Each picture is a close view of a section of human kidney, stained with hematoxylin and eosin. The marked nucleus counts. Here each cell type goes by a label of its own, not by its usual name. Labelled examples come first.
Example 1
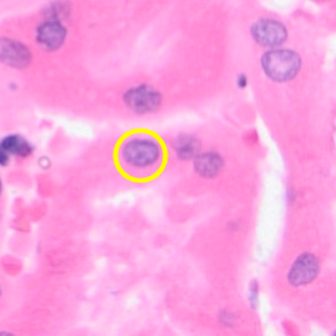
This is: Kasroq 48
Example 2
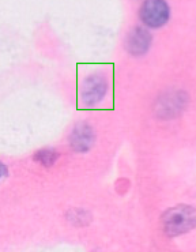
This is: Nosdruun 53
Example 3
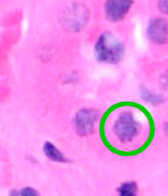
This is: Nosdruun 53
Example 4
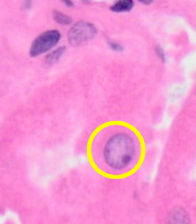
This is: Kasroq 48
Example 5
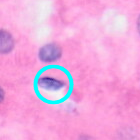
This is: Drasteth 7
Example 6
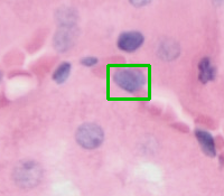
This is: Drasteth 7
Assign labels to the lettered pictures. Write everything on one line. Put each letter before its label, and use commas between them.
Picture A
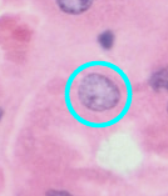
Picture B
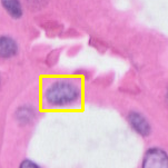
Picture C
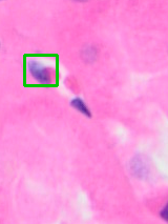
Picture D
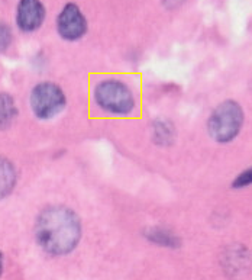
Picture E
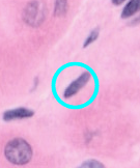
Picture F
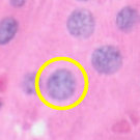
A Kasroq 48, B Nosdruun 53, C Drasteth 7, D Nosdruun 53, E Drasteth 7, F Nosdruun 53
